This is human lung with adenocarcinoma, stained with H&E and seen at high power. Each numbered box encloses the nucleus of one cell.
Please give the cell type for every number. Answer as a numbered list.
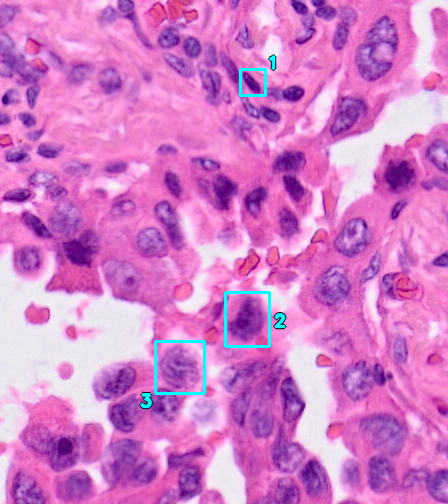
1. plasma cell
2. carcinoma cell
3. carcinoma cell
